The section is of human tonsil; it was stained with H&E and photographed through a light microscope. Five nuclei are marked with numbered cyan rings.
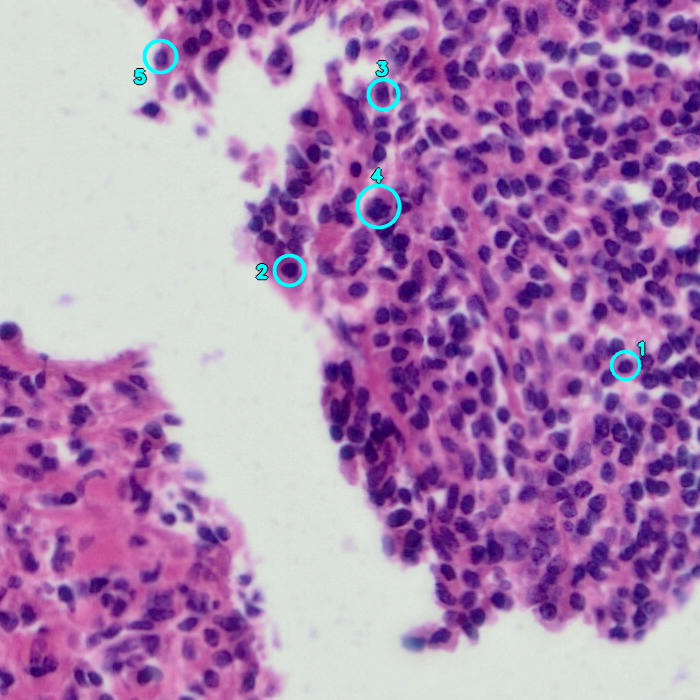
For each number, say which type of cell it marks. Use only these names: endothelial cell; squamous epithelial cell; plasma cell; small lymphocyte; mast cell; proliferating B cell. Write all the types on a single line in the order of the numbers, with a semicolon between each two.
small lymphocyte; plasma cell; plasma cell; proliferating B cell; plasma cell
